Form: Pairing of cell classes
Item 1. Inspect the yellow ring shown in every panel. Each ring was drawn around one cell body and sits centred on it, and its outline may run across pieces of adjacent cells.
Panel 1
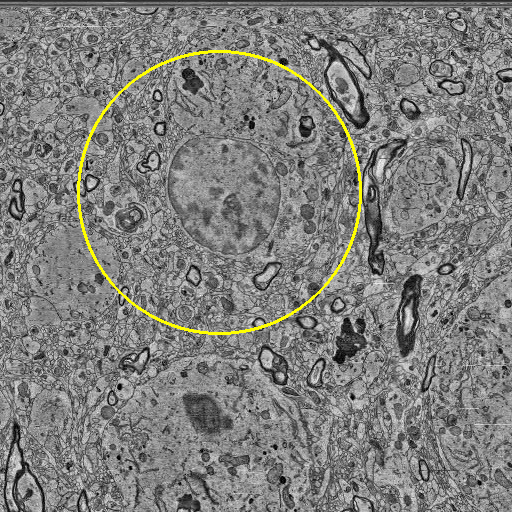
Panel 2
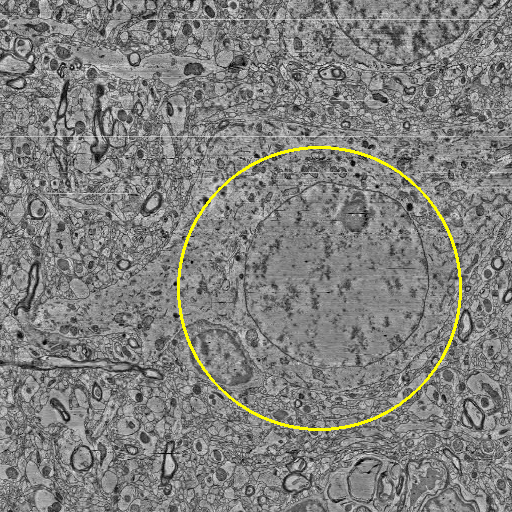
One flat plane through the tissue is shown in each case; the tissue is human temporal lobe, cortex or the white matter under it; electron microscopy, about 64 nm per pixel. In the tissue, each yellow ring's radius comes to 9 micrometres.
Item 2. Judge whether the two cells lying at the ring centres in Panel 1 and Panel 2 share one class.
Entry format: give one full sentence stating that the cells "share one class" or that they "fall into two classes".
The cells at the ring centres in Panel 1 and Panel 2 fall into two classes.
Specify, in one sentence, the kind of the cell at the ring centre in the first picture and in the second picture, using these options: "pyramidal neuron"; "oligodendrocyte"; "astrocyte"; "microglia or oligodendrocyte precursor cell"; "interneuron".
So the first is an oligodendrocyte, the second a pyramidal neuron.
